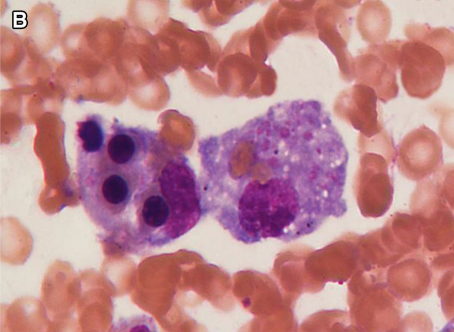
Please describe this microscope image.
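This bone marrow smear shows two activated macrophages lying side by side among many red blood cells. The left cell contains several small, round, very dark and dense nuclei within its purple cytoplasm, beside its own larger, paler purple nucleus. The right cell has foamy cytoplasm full of small clear vacuoles and a purple nucleus. A red blood cell appears enclosed in the cytoplasm of the right cell. Both cells are much larger than the surrounding red cells.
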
